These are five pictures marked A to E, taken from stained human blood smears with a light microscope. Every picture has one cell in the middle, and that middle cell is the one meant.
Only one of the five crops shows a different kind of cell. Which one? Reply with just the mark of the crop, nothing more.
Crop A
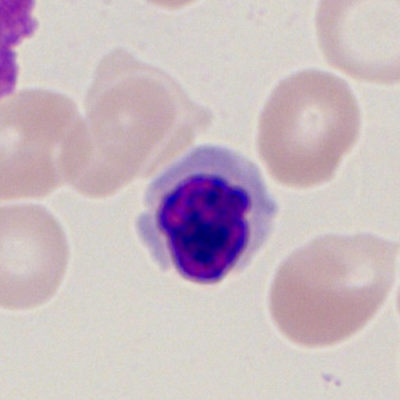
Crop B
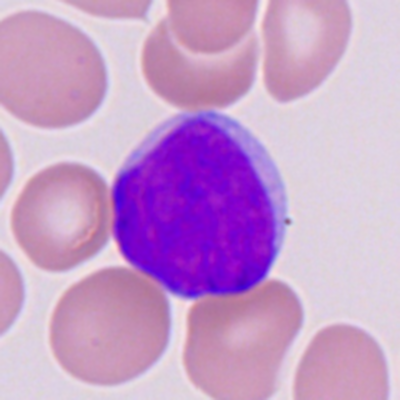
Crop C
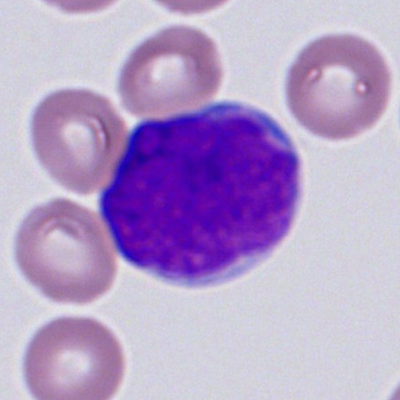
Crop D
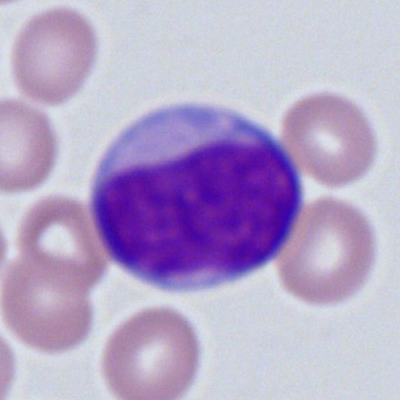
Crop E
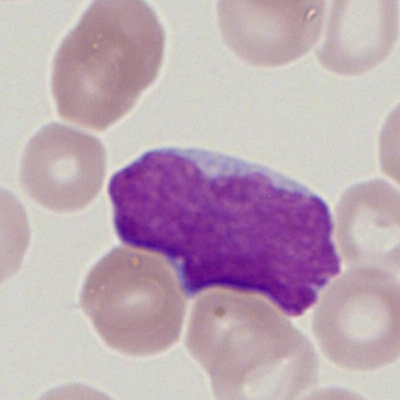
A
